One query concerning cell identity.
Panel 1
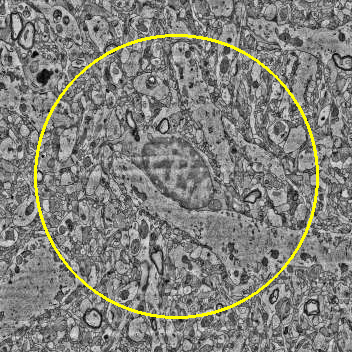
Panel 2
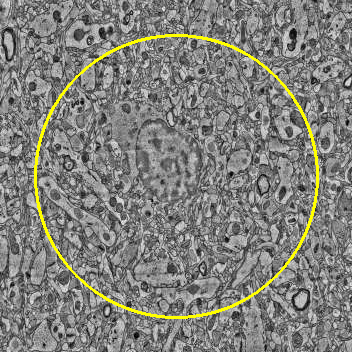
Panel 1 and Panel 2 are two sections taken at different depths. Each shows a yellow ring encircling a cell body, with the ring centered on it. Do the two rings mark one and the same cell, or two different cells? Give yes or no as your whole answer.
yes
